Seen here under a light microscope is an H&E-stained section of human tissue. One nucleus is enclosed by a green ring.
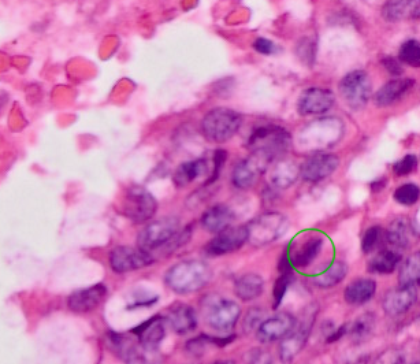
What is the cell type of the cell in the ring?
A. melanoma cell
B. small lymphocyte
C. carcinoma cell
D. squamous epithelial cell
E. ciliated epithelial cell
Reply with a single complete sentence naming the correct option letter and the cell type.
Here the right answer is E, with the cell in the ring being a ciliated epithelial cell.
